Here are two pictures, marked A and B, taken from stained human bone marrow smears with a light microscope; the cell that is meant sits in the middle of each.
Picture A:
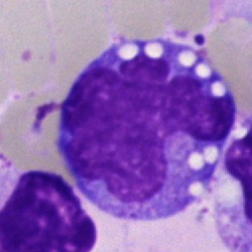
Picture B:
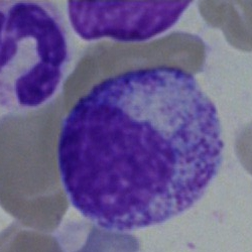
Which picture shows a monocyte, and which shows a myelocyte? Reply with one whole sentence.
Picture B shows a myelocyte, while picture A shows a monocyte.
